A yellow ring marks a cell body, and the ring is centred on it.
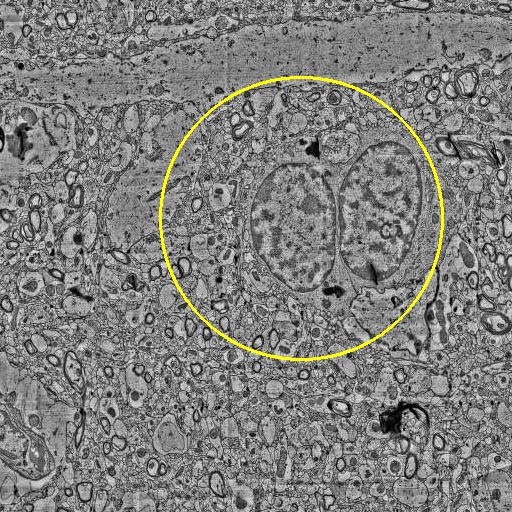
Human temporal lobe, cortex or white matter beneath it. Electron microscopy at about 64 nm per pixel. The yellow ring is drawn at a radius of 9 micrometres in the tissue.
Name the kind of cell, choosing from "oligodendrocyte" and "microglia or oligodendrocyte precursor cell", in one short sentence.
The marked cell body belongs to an oligodendrocyte.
